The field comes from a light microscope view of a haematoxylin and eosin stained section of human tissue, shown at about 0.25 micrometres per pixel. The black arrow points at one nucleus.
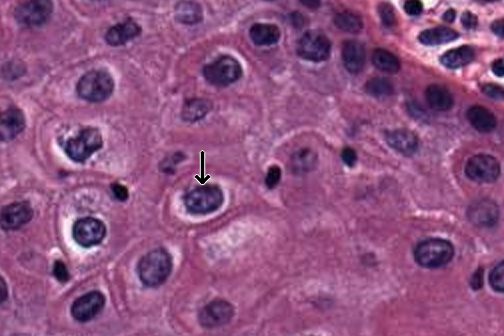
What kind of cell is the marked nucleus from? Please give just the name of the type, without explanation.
squamous epithelial cell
